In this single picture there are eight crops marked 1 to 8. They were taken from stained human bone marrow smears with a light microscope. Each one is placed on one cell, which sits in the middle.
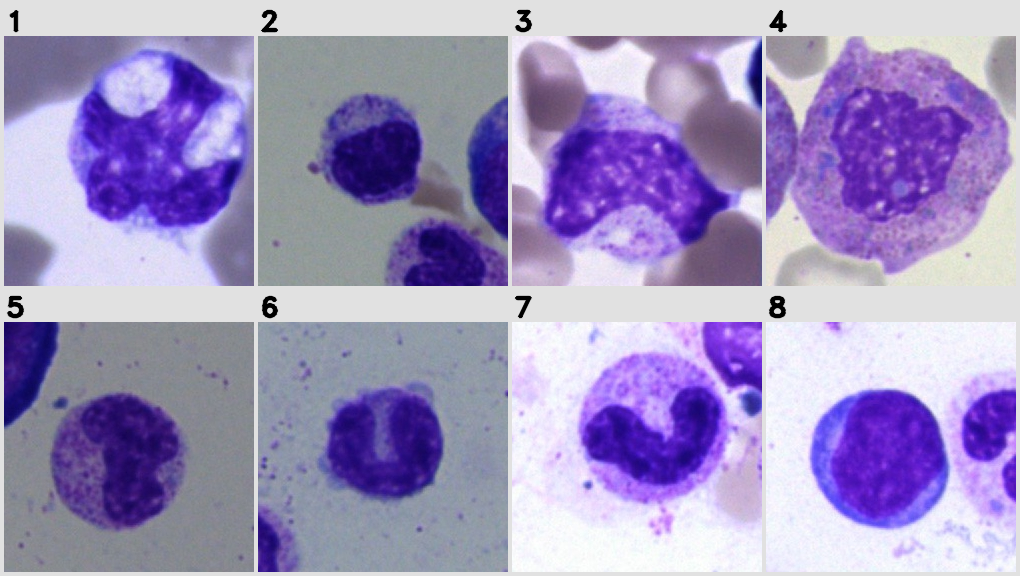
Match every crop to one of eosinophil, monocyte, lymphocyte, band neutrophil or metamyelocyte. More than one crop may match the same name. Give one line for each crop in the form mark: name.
1: monocyte
2: lymphocyte
3: metamyelocyte
4: eosinophil
5: metamyelocyte
6: band neutrophil
7: band neutrophil
8: lymphocyte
